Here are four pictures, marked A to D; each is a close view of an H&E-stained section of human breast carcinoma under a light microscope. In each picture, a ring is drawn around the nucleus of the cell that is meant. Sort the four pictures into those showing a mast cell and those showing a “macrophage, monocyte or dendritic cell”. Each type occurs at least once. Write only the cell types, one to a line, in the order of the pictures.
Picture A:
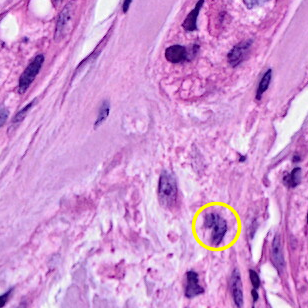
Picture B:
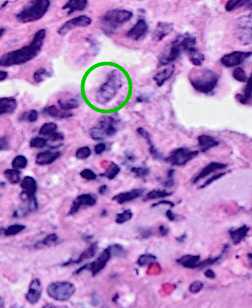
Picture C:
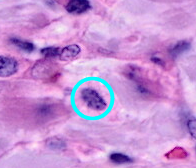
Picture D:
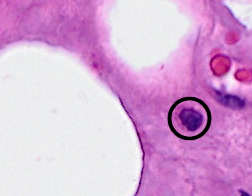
macrophage, monocyte or dendritic cell
macrophage, monocyte or dendritic cell
mast cell
macrophage, monocyte or dendritic cell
